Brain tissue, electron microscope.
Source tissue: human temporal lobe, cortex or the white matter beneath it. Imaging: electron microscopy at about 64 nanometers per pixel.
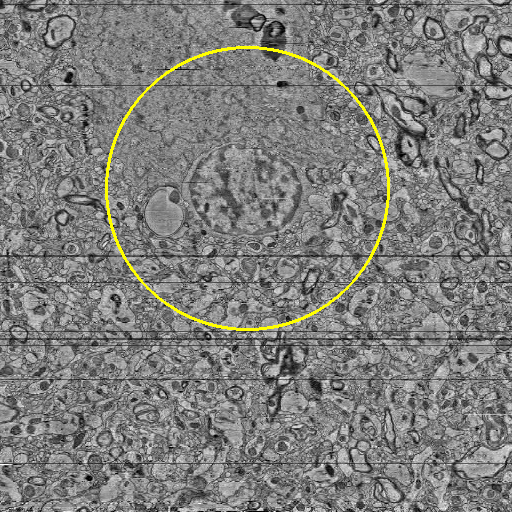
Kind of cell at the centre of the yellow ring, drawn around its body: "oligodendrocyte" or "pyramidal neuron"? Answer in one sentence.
The ring's centre falls on an oligodendrocyte.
